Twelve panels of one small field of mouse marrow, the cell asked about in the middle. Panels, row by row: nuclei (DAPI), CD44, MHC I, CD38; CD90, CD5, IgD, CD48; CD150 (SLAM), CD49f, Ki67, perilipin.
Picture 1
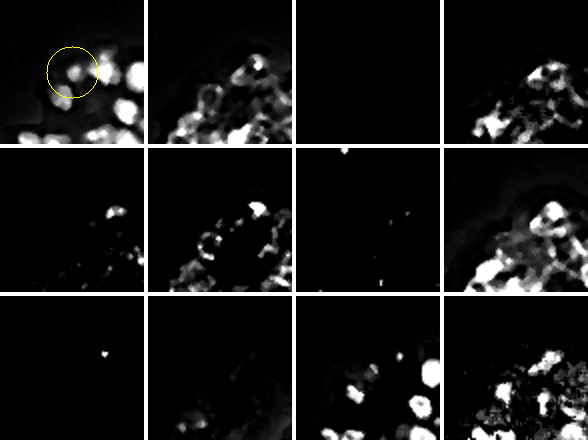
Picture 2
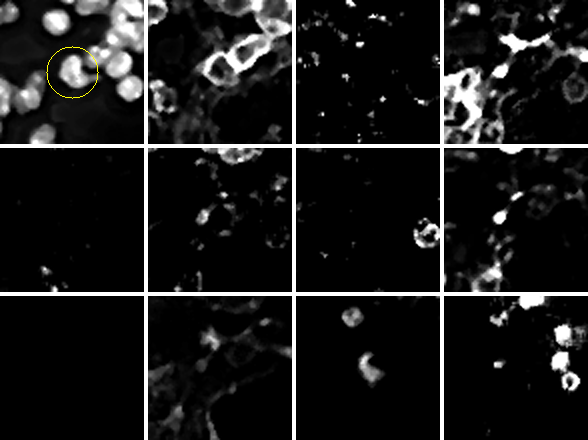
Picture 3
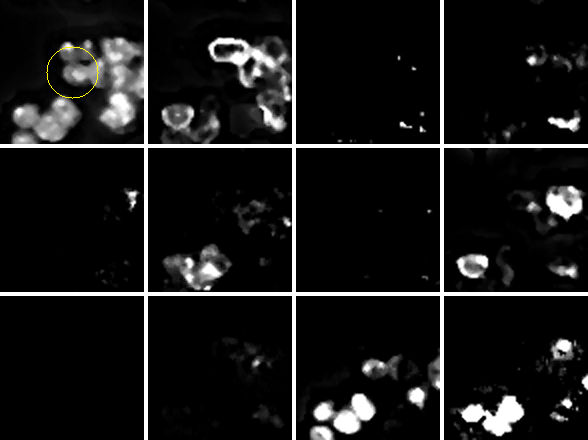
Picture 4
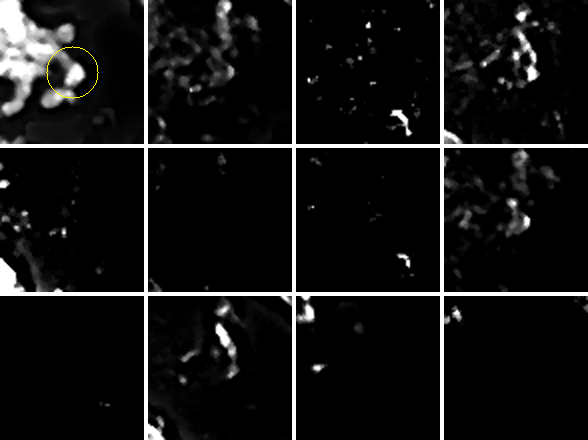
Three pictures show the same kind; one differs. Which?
Picture 4: a capillary endothelial cell, while the others are erythroblasts.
